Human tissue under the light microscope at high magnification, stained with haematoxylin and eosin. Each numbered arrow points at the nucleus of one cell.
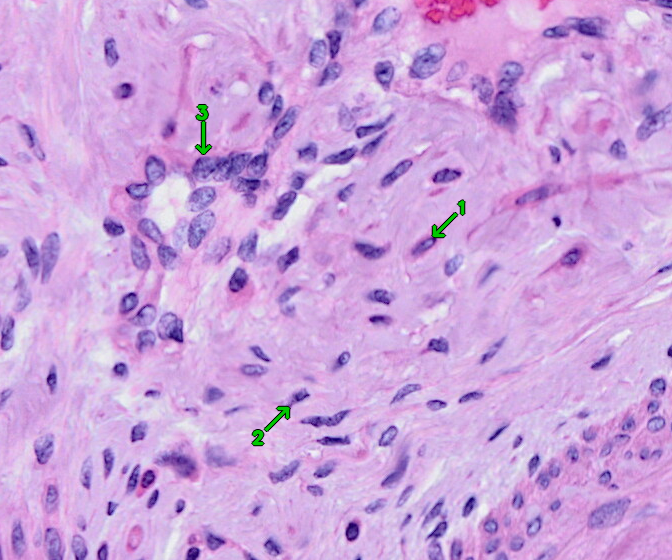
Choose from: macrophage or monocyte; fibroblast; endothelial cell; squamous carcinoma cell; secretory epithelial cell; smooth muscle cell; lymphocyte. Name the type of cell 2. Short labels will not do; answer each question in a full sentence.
Marked with the number 2, this cell is a fibroblast.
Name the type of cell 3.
Here, the cell given the number 3 is an endothelial cell.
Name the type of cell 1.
The nucleus marked 1 is the nucleus of a smooth muscle cell.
